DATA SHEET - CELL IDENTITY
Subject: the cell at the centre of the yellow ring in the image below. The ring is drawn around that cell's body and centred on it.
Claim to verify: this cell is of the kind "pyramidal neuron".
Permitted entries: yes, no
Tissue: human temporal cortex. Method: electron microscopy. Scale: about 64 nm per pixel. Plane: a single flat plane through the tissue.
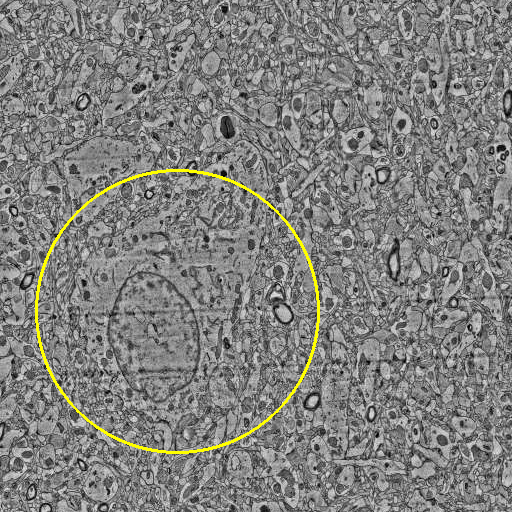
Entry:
yes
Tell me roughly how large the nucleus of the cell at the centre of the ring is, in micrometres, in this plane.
In this plane, the nucleus is roughly 8 by 6 micrometres.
